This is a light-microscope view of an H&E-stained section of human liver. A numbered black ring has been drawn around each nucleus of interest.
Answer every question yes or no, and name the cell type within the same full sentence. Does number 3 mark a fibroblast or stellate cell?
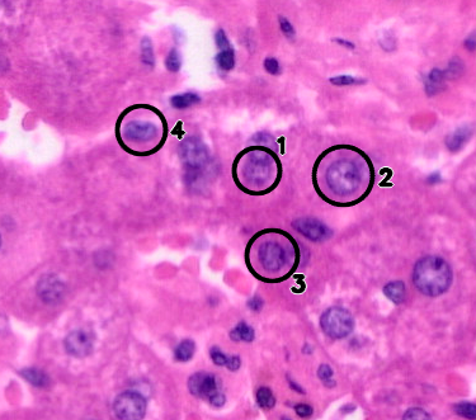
No, cell 3, which is a hepatocyte, is not a fibroblast or stellate cell.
